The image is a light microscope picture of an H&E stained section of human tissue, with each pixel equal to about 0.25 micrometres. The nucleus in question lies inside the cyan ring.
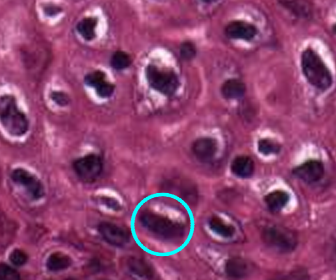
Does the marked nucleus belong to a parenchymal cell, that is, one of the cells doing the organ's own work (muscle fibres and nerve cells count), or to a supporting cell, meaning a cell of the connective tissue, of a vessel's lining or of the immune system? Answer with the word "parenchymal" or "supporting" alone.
parenchymal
